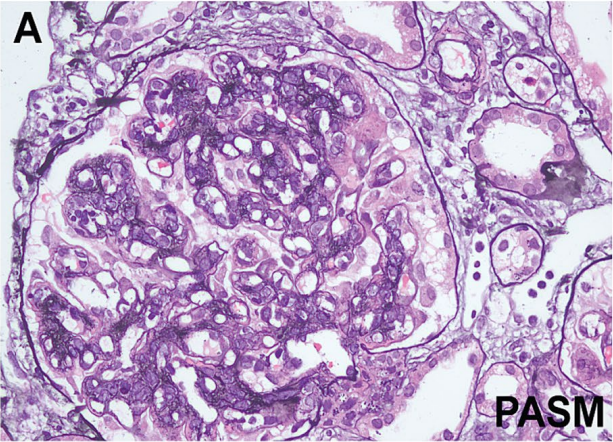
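A glomerulus in a silver stain, its tuft broken into rounded lobules crowded with nuclei, with dark-staining silver outlining the capillary walls and mesangial areas. Capillary lumens are narrowed, and the tuft is surrounded by Bowman's capsule with tubules outside it.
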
